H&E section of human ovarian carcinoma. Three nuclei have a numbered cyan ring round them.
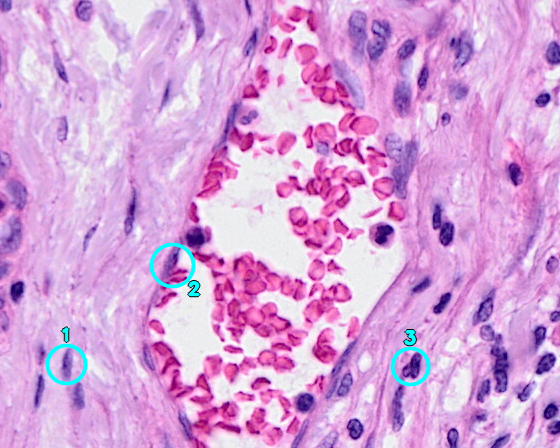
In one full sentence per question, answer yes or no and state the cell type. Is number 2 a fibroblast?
No, the cell bearing number 2 is not a fibroblast but an endothelial cell.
